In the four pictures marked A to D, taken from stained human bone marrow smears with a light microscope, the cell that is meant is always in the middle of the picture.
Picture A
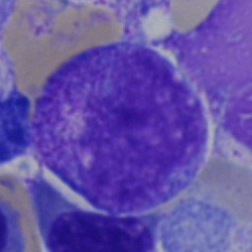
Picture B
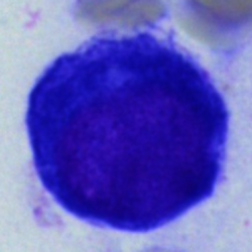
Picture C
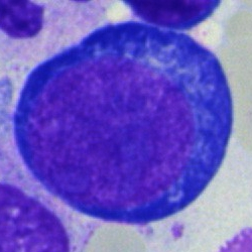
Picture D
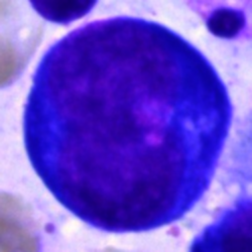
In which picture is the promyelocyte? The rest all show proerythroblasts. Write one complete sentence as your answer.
Picture A is the one that shows the promyelocyte.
